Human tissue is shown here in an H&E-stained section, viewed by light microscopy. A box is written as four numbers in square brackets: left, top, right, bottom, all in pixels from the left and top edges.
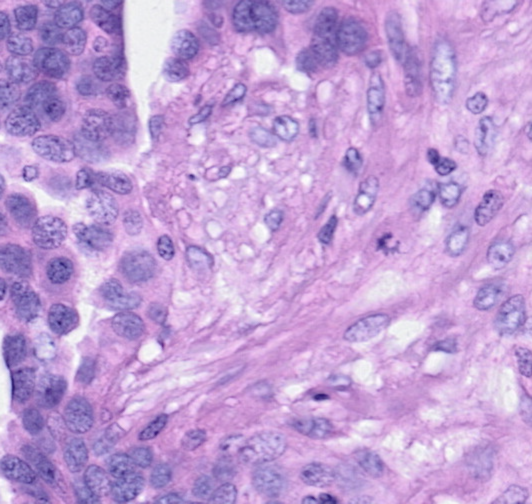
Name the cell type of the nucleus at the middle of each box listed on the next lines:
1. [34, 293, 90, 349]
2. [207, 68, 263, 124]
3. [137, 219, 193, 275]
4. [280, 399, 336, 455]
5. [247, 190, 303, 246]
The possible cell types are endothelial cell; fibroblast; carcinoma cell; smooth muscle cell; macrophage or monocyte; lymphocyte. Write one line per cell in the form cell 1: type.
cell 1: carcinoma cell
cell 2: fibroblast
cell 3: macrophage or monocyte
cell 4: fibroblast
cell 5: fibroblast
